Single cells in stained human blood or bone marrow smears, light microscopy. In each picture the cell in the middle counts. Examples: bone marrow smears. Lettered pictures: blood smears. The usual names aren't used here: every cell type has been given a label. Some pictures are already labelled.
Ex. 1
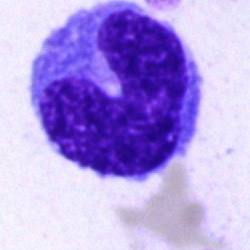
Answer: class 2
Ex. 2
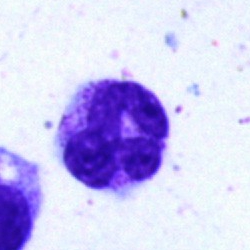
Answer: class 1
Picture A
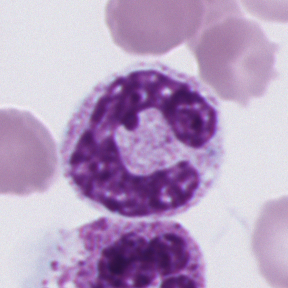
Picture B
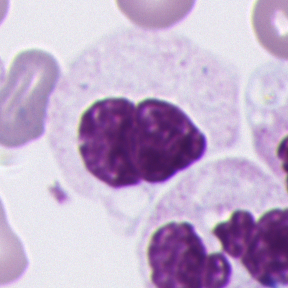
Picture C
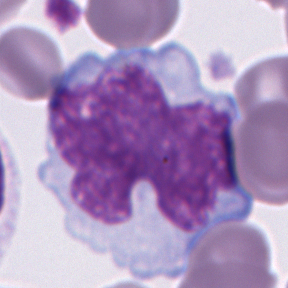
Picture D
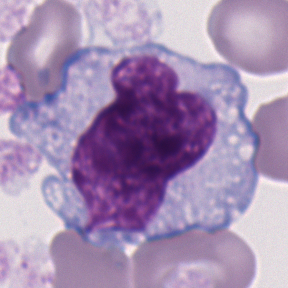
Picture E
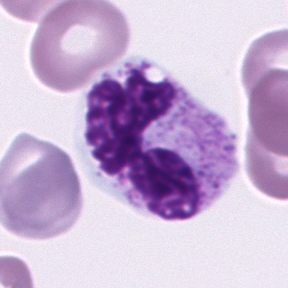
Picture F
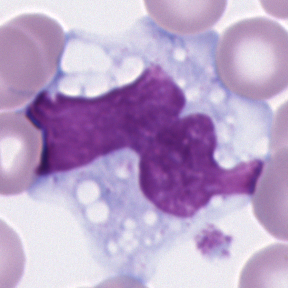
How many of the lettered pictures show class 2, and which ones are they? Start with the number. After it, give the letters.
Count: 3 (C, D, F)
